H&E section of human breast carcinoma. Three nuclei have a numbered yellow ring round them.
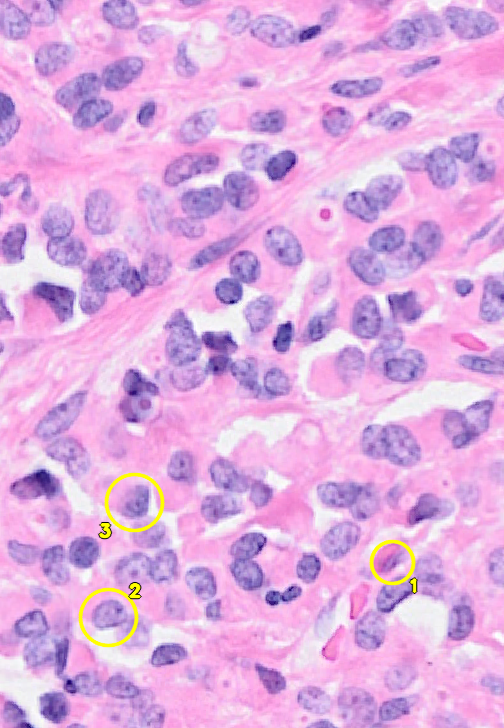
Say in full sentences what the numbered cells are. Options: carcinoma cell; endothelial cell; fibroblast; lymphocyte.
Cell 1 is an endothelial cell. Cells 2 and 3 are carcinoma cells.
